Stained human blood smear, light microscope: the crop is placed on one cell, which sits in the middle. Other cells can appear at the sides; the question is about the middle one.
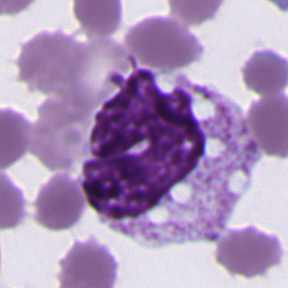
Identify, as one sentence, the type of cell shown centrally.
The cell under consideration, at the middle of the crop, is a band neutrophil.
